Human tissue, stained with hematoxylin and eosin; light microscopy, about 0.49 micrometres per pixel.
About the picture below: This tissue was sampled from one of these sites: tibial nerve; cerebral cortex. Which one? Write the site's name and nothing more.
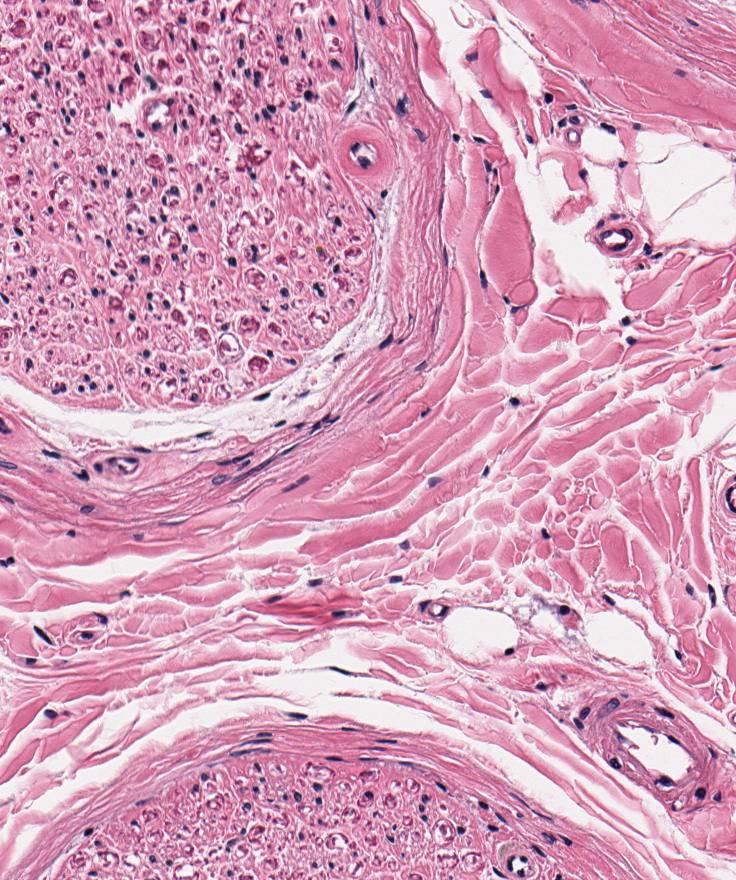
tibial nerve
